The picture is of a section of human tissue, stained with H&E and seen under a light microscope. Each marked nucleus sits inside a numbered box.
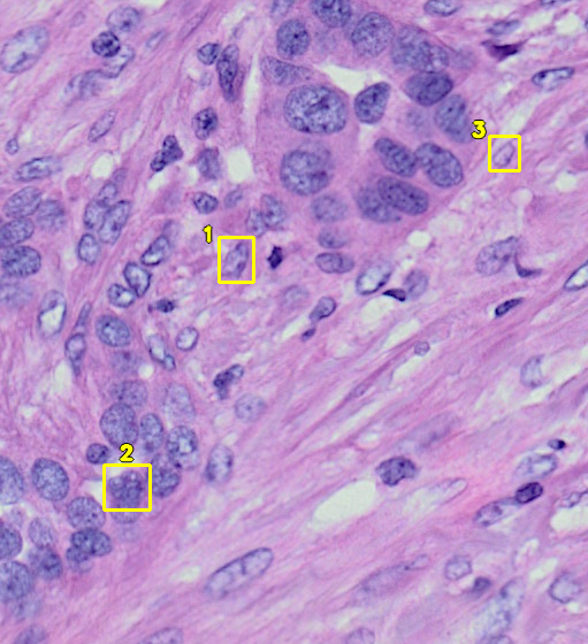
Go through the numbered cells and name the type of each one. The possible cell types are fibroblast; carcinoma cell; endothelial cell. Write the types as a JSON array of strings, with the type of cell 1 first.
["fibroblast", "carcinoma cell", "fibroblast"]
